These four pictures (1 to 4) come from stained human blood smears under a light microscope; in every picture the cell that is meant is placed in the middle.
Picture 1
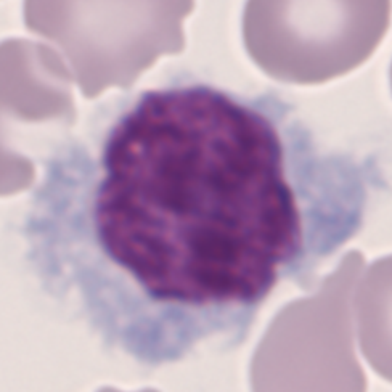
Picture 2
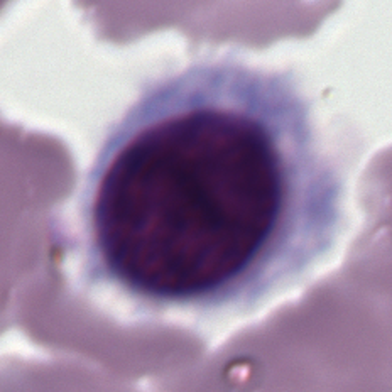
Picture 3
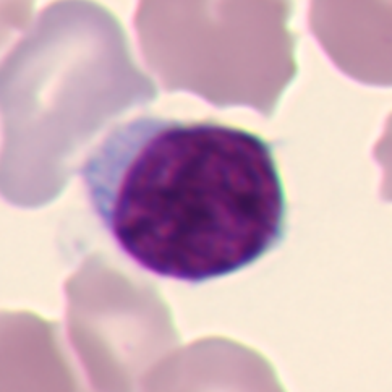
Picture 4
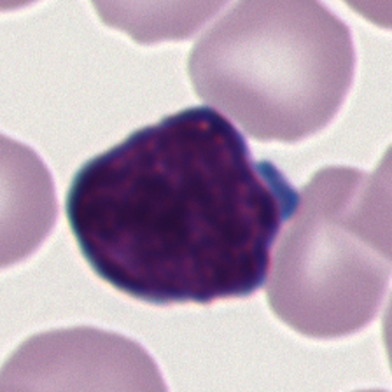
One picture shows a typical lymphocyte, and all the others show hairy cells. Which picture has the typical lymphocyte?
4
